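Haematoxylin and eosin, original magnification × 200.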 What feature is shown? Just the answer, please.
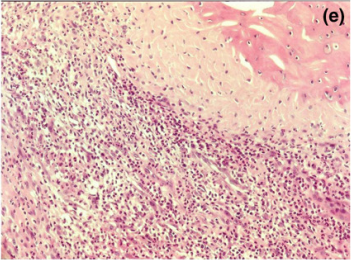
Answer: Pannus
